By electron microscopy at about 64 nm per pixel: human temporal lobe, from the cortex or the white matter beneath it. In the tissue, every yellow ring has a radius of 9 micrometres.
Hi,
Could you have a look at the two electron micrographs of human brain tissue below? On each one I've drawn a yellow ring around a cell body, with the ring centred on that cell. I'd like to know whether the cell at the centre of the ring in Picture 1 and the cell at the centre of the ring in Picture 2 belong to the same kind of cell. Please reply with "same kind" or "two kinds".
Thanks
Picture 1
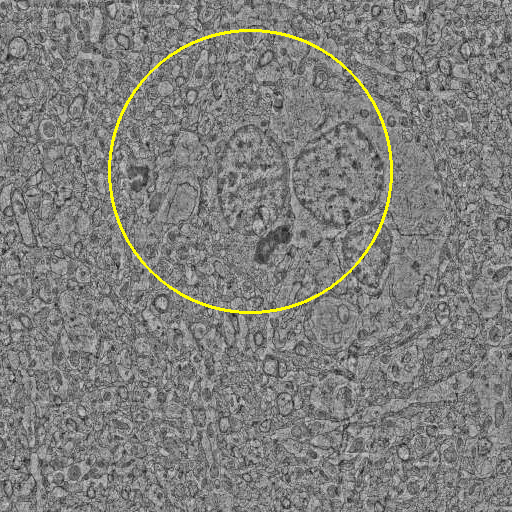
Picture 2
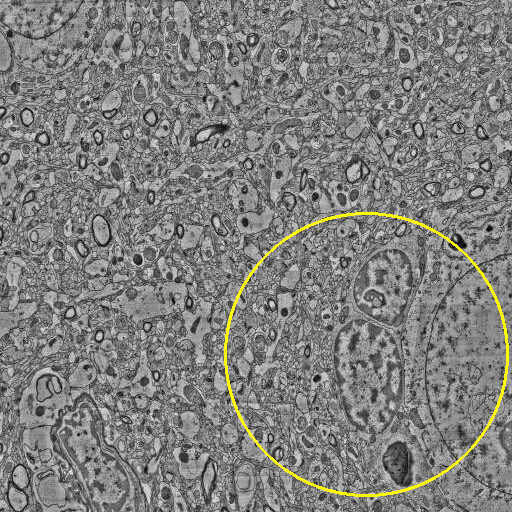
same kind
